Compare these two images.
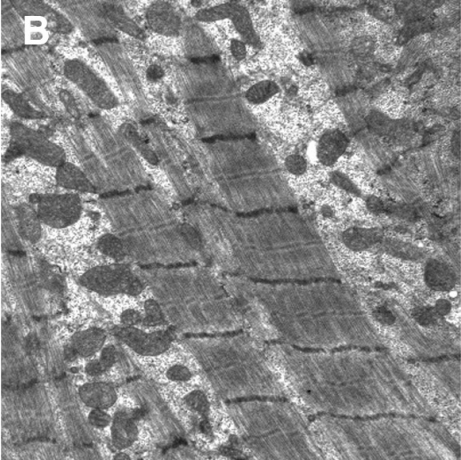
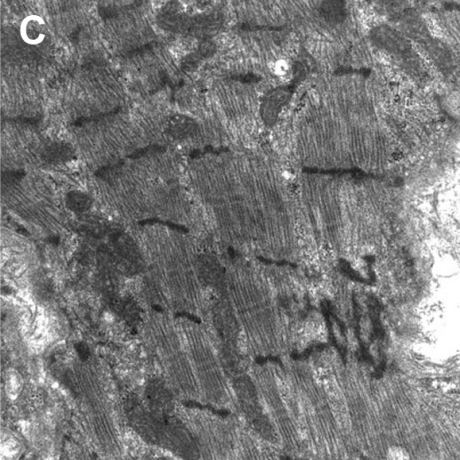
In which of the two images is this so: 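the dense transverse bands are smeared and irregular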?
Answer: The second image.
